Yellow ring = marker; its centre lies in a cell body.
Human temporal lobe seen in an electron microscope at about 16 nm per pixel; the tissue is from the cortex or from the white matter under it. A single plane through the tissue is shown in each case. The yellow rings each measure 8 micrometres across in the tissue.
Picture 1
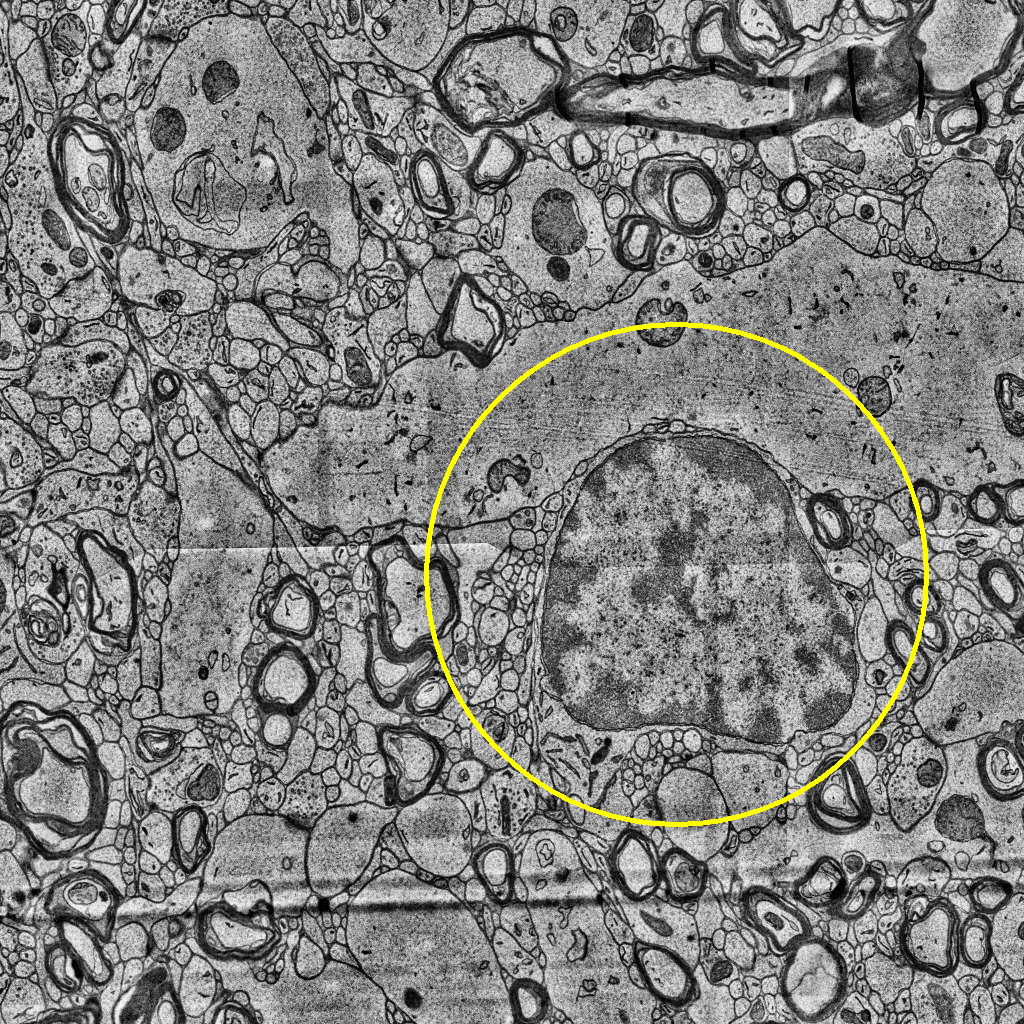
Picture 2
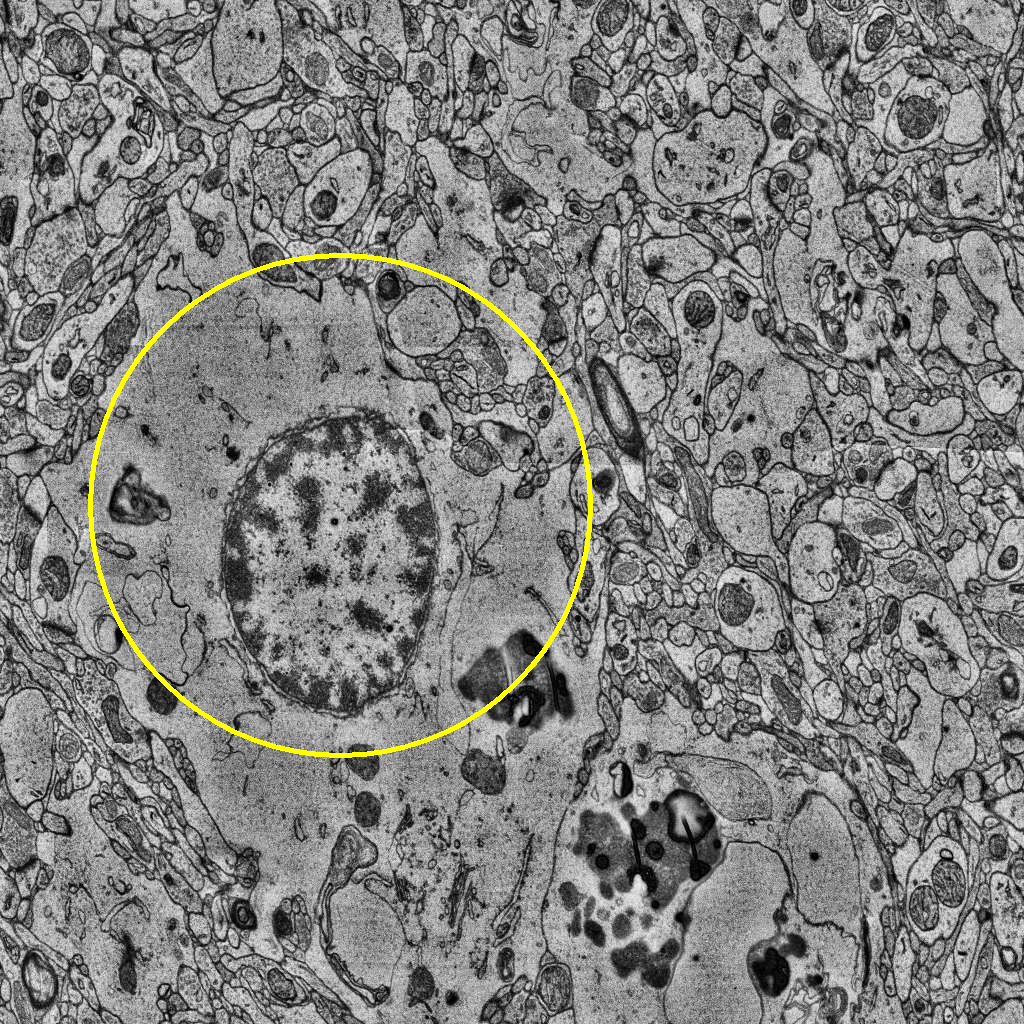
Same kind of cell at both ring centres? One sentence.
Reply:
No, they are two kinds of cell.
